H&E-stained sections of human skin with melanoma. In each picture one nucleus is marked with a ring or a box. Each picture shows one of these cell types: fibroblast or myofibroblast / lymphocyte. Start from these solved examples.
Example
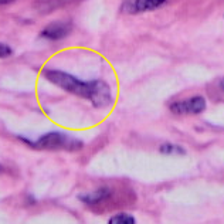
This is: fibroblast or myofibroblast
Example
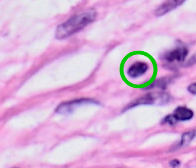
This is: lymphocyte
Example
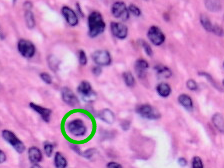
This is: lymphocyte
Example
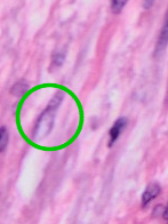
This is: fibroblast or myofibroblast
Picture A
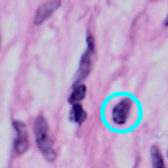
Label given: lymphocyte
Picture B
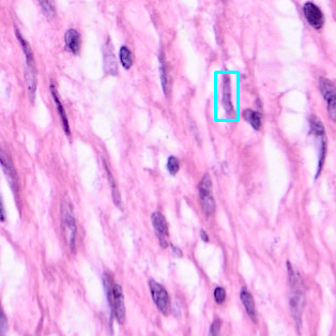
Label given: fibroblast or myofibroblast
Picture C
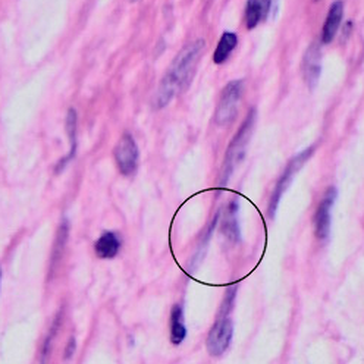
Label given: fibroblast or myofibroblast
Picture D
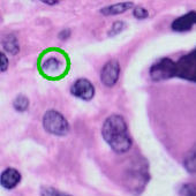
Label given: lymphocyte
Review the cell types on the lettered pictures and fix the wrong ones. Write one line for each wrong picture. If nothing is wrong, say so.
No label is wrong.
